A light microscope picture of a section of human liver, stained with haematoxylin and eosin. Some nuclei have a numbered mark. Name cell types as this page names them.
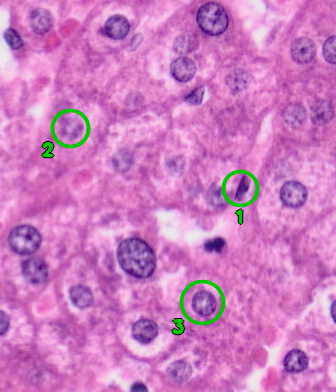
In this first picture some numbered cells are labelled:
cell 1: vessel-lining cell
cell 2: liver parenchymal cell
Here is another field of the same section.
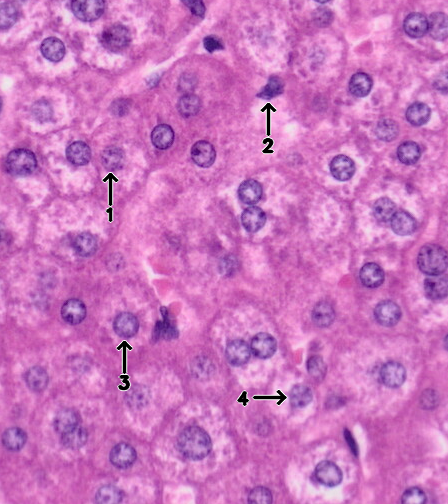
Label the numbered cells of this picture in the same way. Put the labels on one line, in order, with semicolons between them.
liver parenchymal cell; vessel-lining cell; liver parenchymal cell; liver parenchymal cell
